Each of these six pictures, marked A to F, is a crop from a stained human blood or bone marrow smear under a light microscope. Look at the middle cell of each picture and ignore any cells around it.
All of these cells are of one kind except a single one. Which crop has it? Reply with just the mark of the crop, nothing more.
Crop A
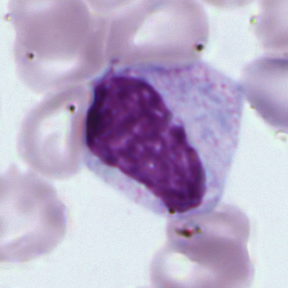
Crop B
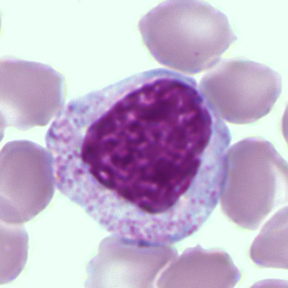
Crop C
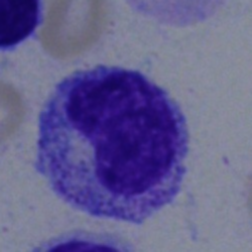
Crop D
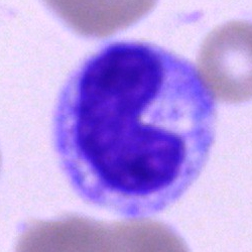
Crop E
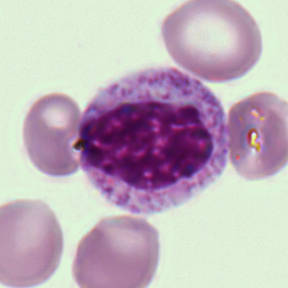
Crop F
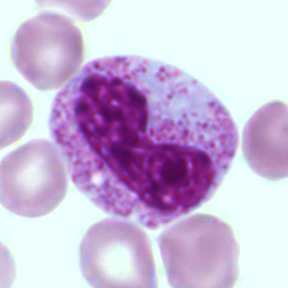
F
